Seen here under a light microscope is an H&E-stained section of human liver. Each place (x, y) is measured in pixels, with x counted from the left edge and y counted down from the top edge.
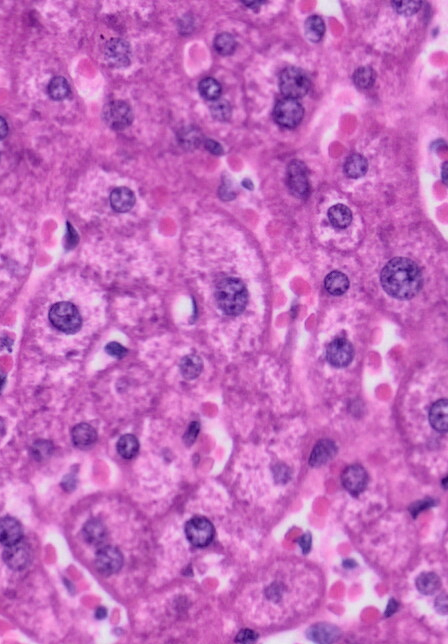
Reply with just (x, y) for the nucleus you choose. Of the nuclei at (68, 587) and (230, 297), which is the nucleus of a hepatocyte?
(230, 297)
